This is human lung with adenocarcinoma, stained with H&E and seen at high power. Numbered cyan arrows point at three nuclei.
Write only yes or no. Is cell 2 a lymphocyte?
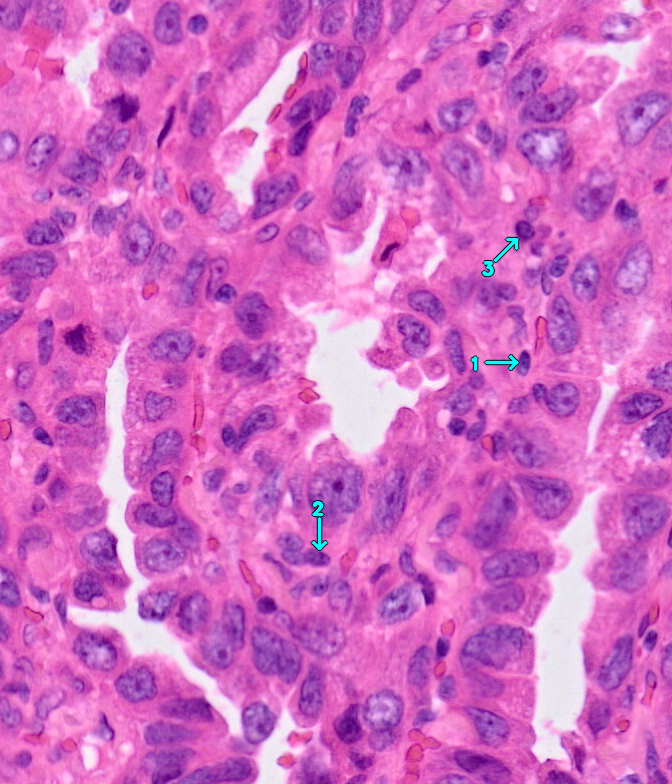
yes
